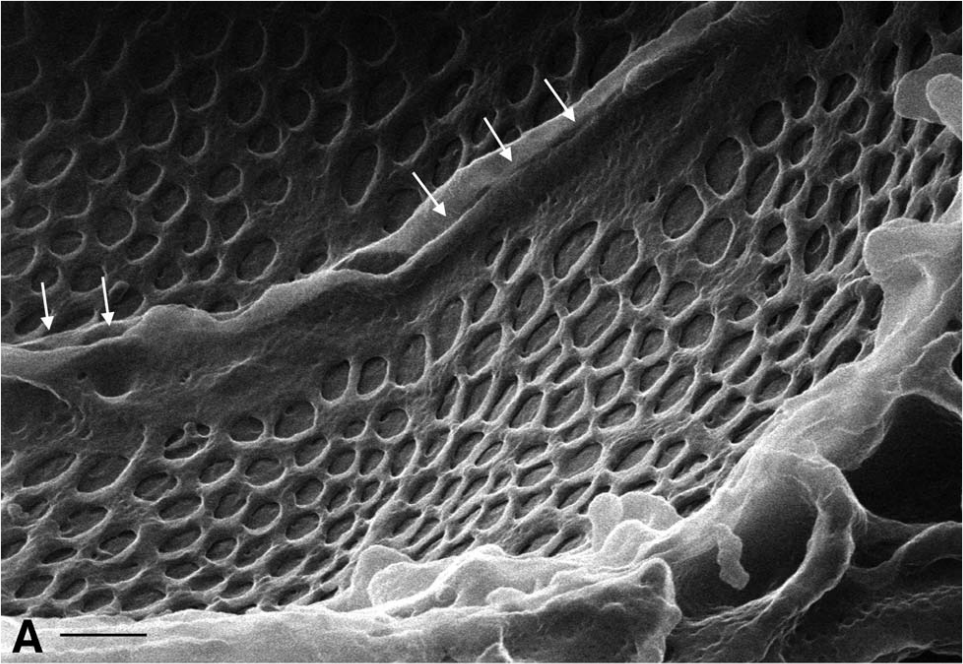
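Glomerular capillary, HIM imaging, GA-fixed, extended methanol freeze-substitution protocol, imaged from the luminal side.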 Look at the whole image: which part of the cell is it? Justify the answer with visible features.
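Fenestrations. The surface is perforated by many round to oval holes.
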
